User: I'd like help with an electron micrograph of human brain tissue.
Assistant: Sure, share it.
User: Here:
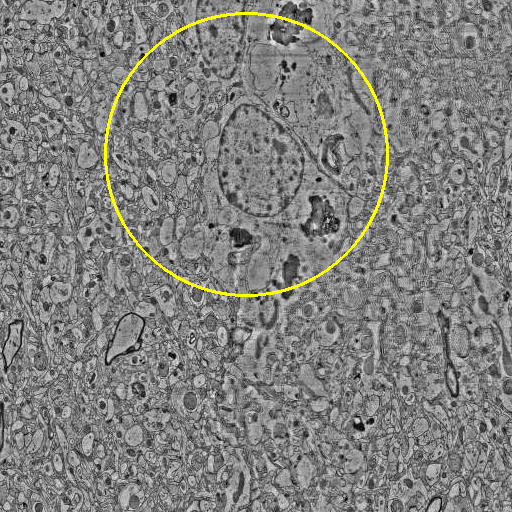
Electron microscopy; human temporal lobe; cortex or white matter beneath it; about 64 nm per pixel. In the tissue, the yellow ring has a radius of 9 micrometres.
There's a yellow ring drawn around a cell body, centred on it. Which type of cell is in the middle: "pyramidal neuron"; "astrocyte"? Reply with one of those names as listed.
astrocyte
